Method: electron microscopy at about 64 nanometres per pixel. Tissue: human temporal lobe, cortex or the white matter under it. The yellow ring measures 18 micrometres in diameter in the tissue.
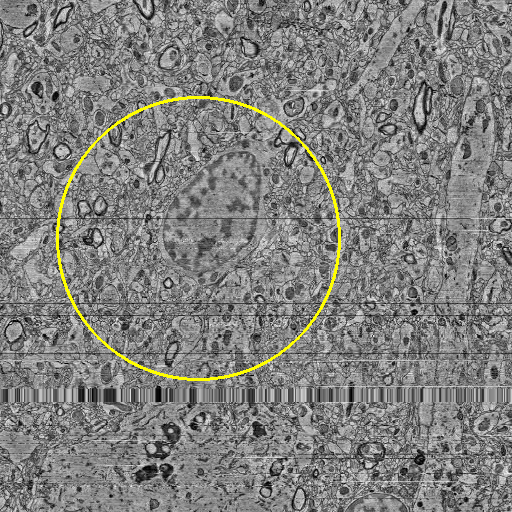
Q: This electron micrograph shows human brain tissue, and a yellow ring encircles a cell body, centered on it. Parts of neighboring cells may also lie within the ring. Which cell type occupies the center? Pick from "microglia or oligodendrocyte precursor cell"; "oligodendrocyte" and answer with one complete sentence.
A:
What sits at the ring's center in this micrograph is an oligodendrocyte, among those choices.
